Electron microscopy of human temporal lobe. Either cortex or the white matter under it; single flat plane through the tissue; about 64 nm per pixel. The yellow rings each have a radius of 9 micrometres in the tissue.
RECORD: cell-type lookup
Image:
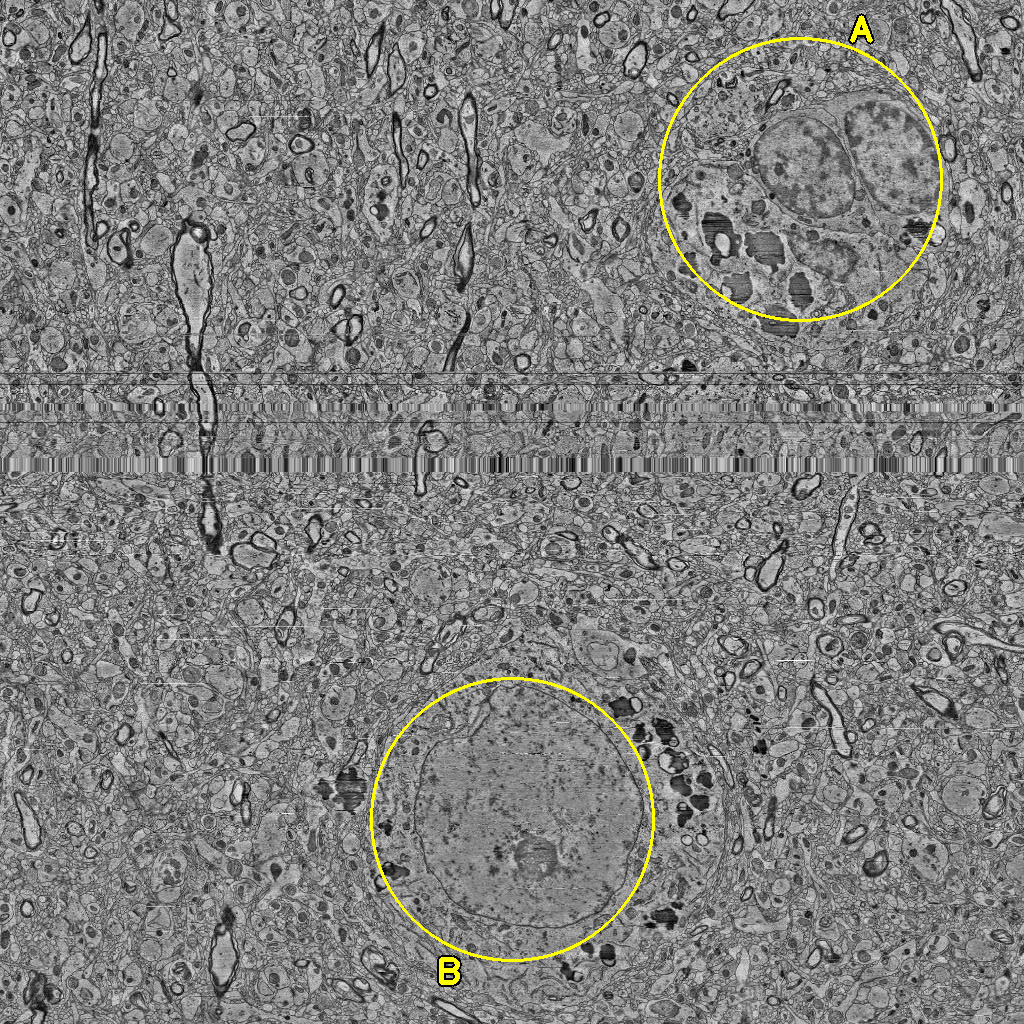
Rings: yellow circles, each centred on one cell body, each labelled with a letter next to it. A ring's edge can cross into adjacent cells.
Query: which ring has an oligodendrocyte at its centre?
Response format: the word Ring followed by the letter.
Ring A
